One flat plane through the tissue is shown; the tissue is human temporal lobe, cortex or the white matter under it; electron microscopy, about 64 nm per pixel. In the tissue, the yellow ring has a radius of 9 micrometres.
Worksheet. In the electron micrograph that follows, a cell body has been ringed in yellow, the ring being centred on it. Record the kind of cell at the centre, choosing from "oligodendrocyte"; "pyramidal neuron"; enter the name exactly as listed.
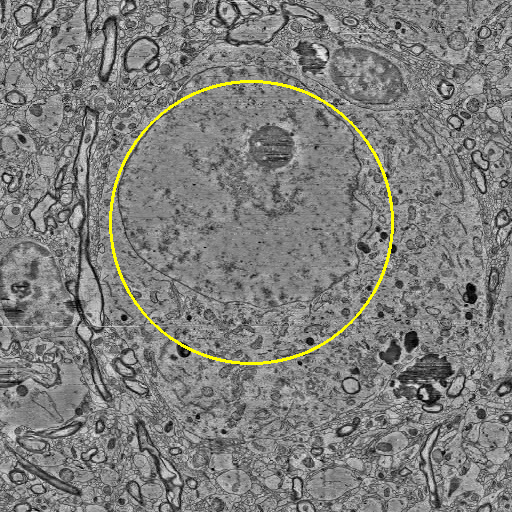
pyramidal neuron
